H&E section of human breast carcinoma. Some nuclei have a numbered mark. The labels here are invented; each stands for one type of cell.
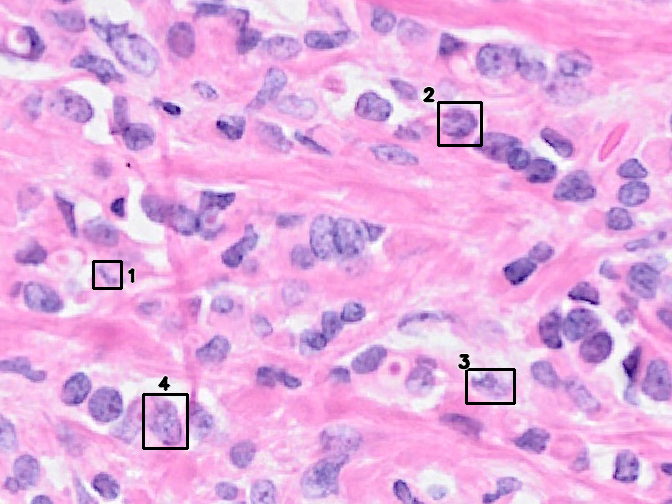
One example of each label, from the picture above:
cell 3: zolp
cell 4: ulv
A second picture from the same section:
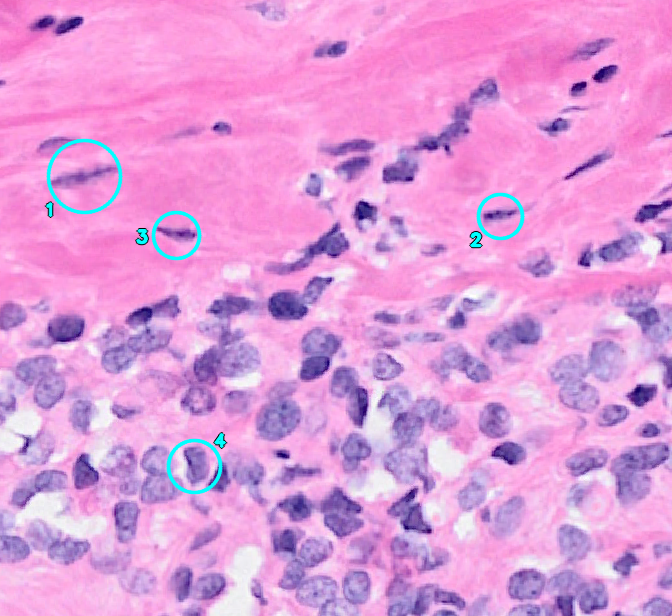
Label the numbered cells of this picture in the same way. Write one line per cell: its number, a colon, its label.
1: zolp
2: zolp
3: zolp
4: ulv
